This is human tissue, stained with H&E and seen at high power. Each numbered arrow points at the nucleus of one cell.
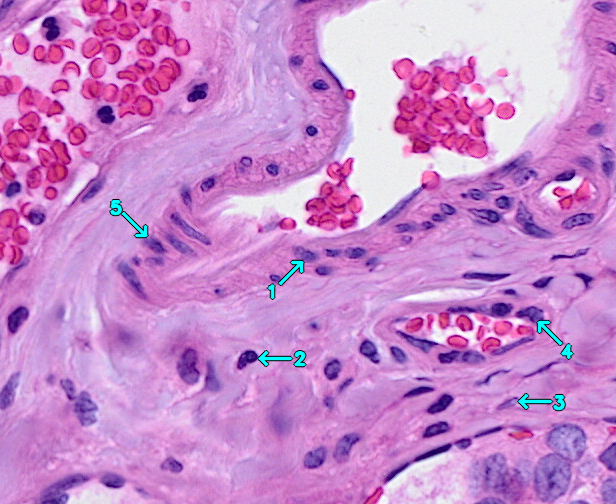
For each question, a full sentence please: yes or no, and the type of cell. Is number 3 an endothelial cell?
No, cell 3 is not an endothelial cell; it is a fibroblast.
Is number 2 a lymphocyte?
Yes, the cell bearing the number 2 is a lymphocyte.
